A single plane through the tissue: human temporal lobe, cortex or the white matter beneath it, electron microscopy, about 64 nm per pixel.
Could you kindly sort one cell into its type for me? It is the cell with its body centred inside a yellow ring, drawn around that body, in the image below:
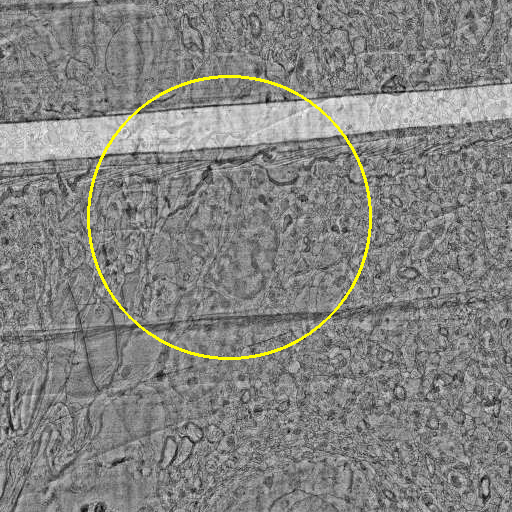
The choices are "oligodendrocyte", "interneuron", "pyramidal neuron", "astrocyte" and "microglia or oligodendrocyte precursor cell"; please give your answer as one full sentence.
The cell whose body lies centred in the yellow ring here is an oligodendrocyte.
